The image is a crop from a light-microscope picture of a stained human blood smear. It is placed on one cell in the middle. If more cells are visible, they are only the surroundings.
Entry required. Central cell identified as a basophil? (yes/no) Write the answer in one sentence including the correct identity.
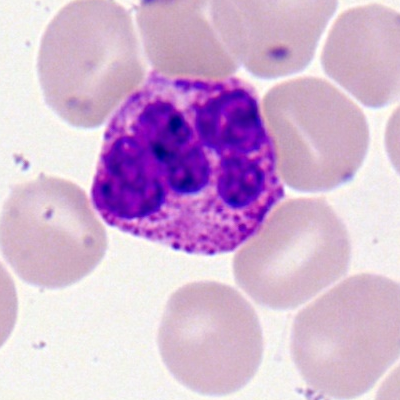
Yes, this central cell is a basophil.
